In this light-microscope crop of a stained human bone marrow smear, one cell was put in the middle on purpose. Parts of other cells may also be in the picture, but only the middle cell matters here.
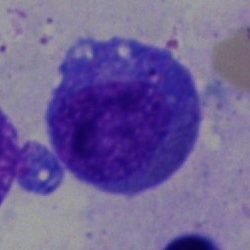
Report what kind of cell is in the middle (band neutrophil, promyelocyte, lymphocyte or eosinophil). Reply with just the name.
promyelocyte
